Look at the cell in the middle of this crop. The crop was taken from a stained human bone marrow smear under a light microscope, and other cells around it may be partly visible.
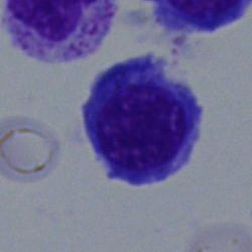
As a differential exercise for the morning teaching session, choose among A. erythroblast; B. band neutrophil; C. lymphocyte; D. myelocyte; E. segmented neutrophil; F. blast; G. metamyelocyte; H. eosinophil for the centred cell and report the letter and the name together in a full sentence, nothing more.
Of the options given, A is correct, the central cell being an erythroblast.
